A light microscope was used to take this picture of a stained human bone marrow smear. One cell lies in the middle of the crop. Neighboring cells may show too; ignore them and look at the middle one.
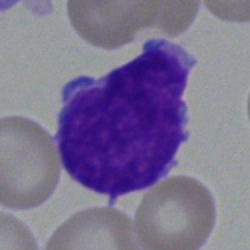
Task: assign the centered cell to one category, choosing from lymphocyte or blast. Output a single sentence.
The middle of this crop is occupied by a blast.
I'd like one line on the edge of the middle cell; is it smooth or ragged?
As for its outline, the cell is irregular, ragged or drawn into projections.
